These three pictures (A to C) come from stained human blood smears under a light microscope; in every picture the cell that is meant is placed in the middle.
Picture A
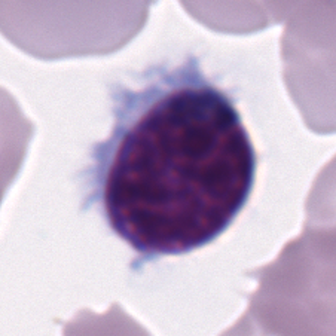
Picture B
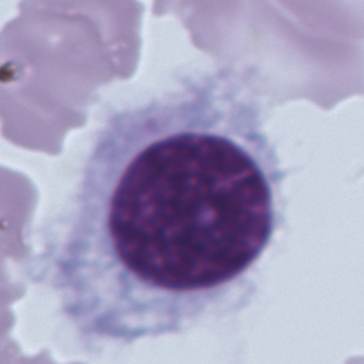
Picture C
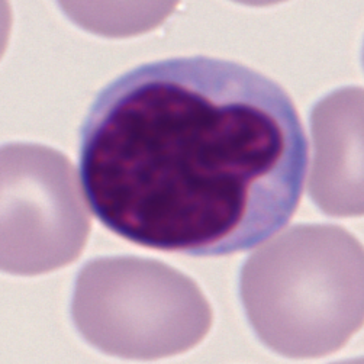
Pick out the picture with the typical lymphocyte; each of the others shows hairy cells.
C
